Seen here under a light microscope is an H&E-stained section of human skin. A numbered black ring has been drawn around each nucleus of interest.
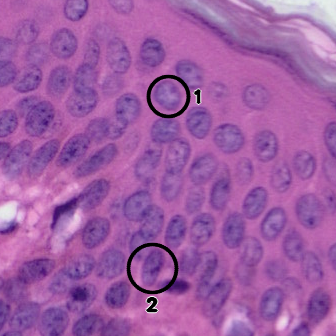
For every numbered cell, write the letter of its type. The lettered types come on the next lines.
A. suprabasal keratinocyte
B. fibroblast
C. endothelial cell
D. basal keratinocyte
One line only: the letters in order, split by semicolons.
A; D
